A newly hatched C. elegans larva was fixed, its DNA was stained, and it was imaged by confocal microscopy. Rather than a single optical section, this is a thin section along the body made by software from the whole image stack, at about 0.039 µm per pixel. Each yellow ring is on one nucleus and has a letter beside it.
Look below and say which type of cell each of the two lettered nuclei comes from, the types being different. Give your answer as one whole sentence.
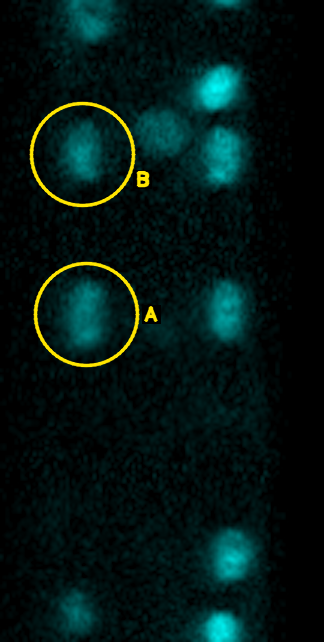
A is the nucleus of a seam cell; B is the nucleus of a P cell (ventral epidermal blast cell).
